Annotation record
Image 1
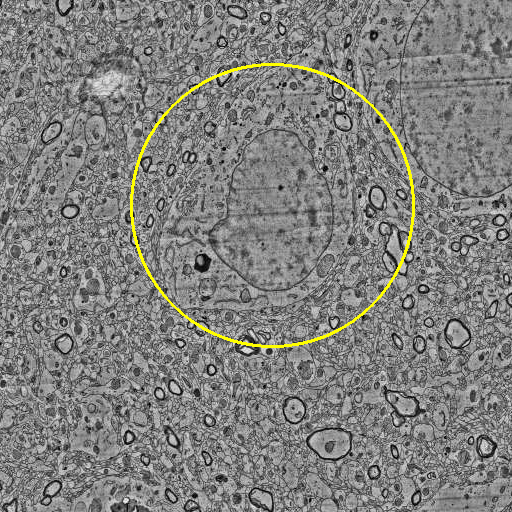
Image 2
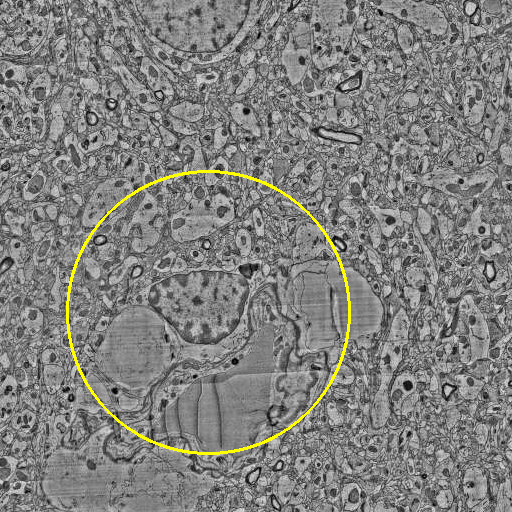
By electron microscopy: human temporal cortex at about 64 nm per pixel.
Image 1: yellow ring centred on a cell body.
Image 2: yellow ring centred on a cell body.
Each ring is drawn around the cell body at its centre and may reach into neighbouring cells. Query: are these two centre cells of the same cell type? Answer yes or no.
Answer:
no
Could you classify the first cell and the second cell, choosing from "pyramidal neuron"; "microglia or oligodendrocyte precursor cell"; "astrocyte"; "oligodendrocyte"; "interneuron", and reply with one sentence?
The second cell is a microglial cell or oligodendrocyte precursor cell, while the first is a pyramidal neuron.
